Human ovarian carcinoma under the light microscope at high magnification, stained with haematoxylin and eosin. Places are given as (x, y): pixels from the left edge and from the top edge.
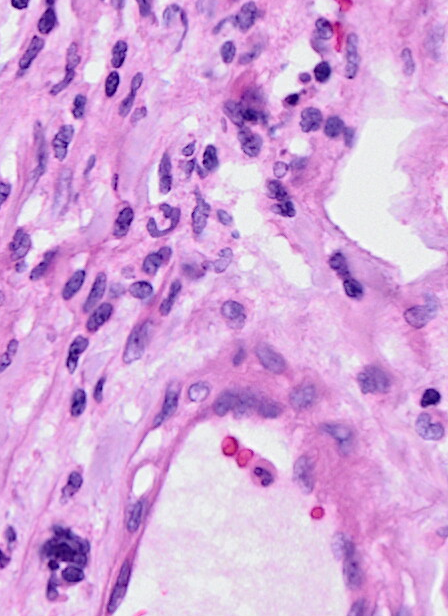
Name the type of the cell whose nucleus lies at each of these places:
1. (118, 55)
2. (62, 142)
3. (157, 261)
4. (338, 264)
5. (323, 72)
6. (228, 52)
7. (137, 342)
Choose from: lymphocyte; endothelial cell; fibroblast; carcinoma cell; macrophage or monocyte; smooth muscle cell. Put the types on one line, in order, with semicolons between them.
lymphocyte; macrophage or monocyte; macrophage or monocyte; macrophage or monocyte; lymphocyte; lymphocyte; fibroblast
